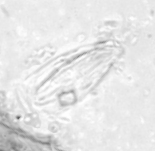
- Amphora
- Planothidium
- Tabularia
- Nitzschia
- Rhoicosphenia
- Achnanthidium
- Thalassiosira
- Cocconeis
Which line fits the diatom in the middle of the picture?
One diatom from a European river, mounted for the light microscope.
Achnanthidium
